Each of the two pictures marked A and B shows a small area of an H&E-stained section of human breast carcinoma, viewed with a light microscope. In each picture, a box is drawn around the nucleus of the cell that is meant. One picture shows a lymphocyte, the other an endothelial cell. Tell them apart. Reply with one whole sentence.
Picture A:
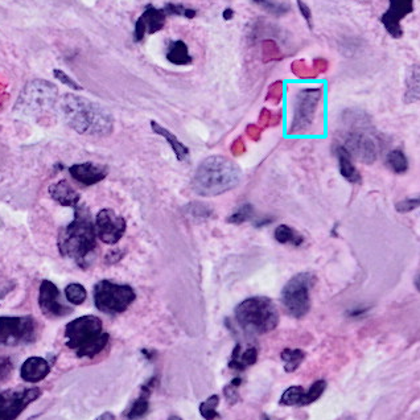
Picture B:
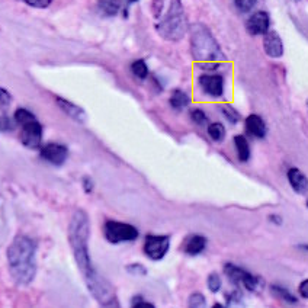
Picture A is of an endothelial cell, and picture B is of a lymphocyte.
